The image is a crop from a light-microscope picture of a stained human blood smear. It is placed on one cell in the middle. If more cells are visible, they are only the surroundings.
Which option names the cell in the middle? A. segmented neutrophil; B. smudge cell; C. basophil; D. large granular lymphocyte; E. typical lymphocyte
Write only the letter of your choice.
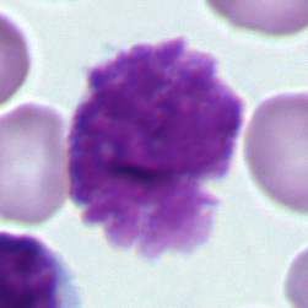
B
